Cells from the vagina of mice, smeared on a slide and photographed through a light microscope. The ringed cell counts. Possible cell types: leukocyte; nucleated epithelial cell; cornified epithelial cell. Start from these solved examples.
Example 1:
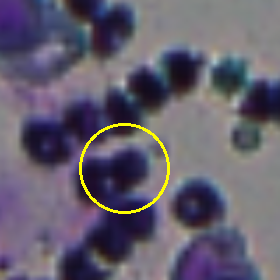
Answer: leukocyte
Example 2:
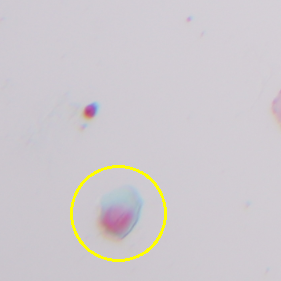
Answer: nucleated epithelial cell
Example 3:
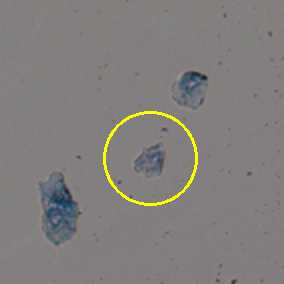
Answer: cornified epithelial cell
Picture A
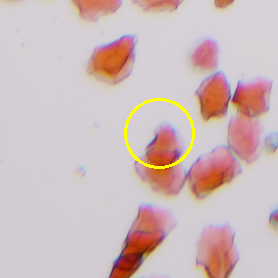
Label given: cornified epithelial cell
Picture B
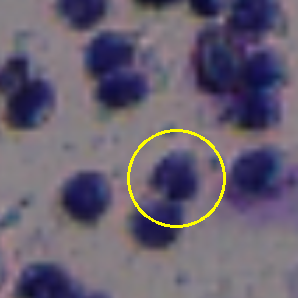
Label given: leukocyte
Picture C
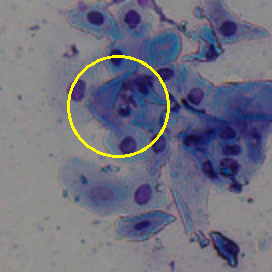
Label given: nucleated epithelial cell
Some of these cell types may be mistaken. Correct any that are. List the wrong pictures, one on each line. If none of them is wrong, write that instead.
None of the labels needs changing.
